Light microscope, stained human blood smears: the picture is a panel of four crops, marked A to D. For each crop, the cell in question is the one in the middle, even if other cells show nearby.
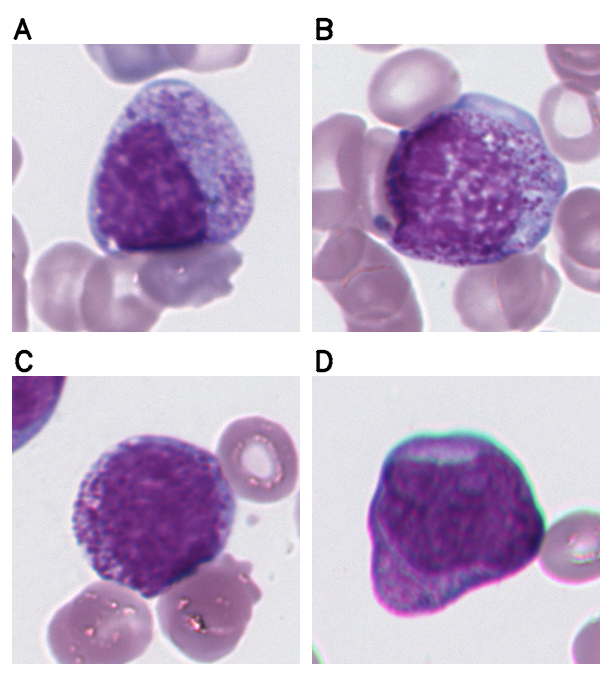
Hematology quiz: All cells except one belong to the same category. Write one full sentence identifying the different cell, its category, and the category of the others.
Unlike the rest, which all show myelocytes, crop D contains an atypical promyelocyte.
